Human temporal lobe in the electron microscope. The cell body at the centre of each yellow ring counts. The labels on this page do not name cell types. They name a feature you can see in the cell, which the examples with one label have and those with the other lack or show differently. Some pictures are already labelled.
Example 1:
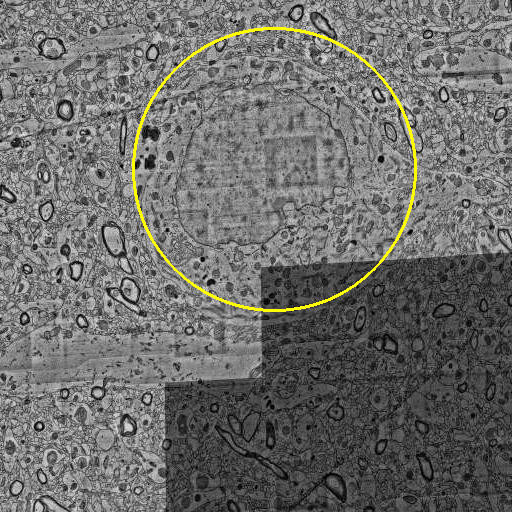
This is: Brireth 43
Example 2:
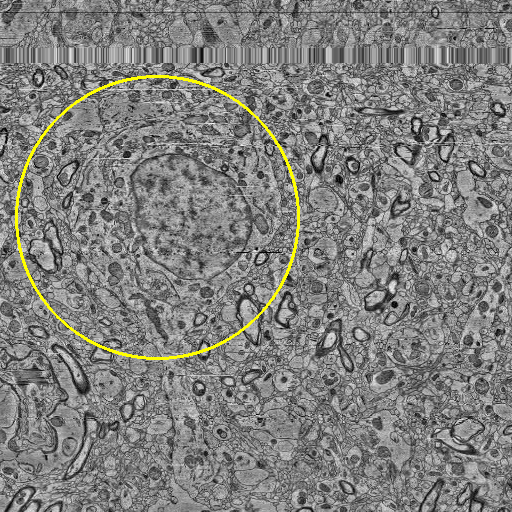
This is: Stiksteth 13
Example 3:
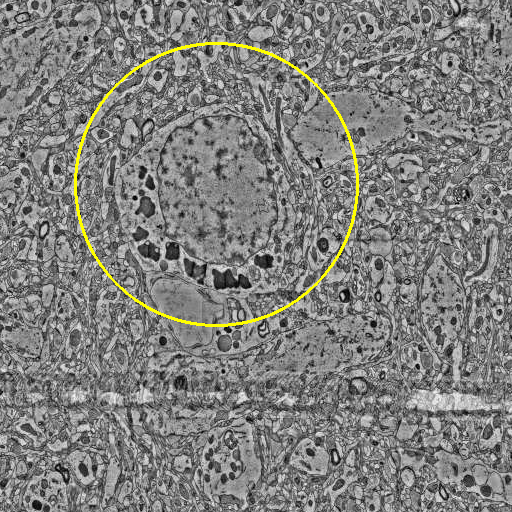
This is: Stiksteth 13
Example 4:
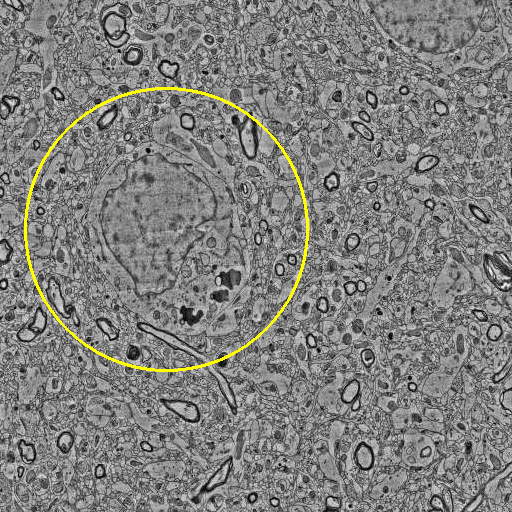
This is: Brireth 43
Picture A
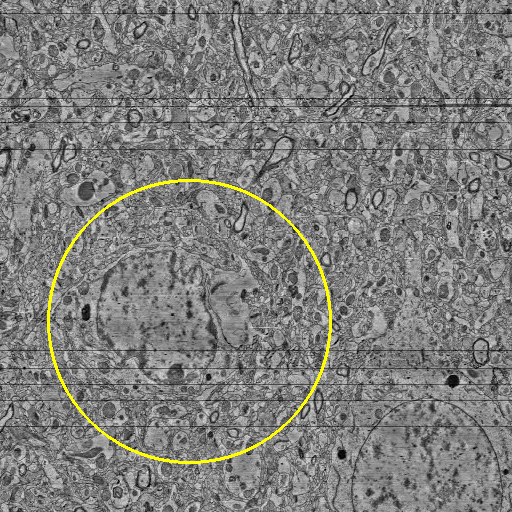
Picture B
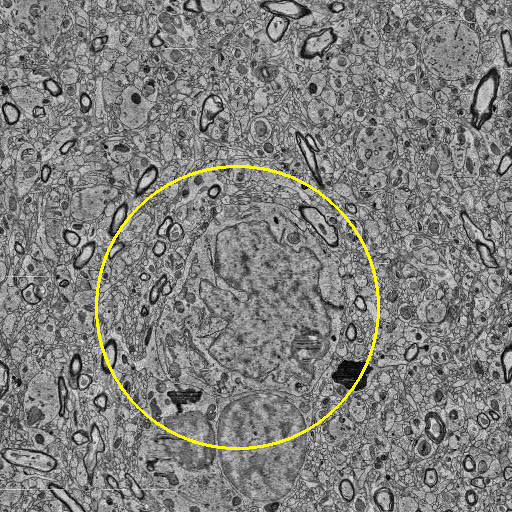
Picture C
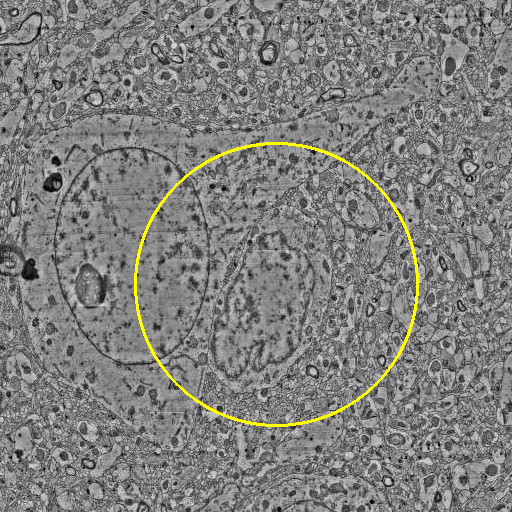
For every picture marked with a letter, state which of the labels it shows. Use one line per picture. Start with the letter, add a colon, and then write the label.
A: Brireth 43
B: Brireth 43
C: Brireth 43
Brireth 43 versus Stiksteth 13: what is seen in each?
Brireth 43: deeply folded or indented nuclear envelopes; Stiksteth 13: smooth nuclear envelopes without deep folds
